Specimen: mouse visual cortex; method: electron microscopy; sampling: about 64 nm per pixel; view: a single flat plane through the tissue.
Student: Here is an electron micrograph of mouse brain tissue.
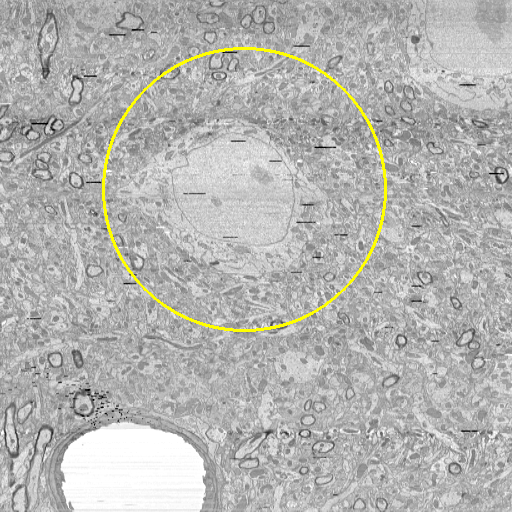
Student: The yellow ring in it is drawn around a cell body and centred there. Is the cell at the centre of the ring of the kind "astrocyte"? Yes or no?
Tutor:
no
